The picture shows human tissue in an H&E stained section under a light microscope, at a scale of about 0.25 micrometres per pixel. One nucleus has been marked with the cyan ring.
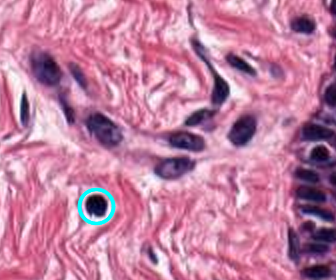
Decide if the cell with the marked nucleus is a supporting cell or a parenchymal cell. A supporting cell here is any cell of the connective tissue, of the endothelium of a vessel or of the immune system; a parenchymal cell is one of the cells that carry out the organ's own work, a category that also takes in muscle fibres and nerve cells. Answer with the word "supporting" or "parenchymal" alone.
supporting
